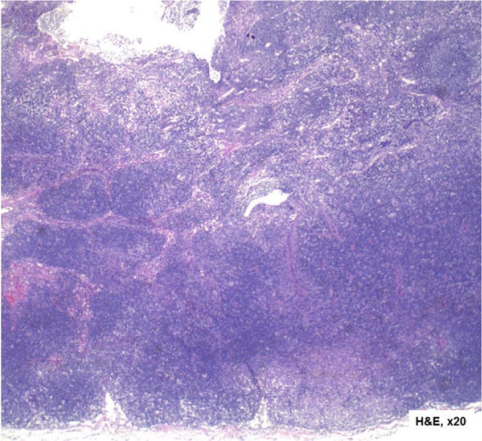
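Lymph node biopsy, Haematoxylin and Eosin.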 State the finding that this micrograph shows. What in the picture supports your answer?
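Low-power view of densely cellular, purple-staining lymphoid tissue. Nodular areas are irregular and lack well-formed rounded follicles with distinct pale germinal centres. Pale, less dense areas are interspersed among the dark lymphoid zones. That points to this answer: Loss of the normal follicular architecture.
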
